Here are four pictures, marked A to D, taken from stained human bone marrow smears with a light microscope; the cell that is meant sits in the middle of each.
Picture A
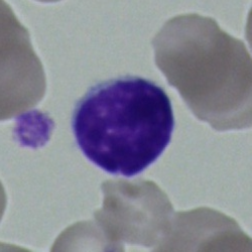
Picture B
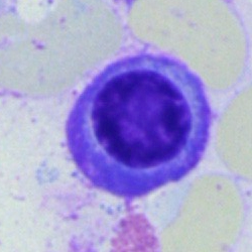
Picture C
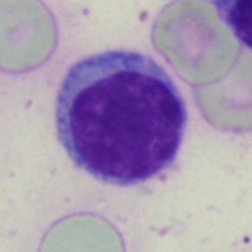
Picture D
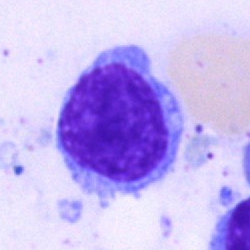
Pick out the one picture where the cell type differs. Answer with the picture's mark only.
B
